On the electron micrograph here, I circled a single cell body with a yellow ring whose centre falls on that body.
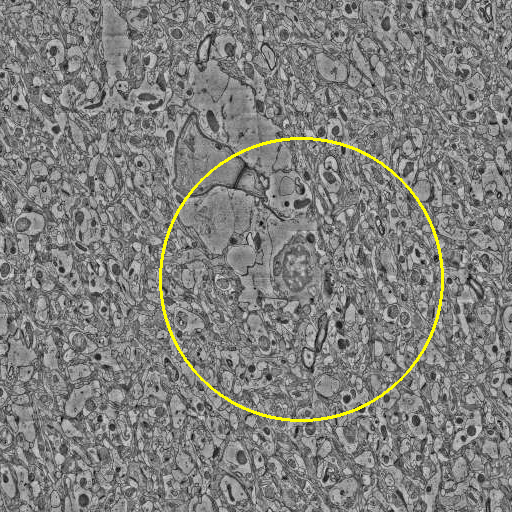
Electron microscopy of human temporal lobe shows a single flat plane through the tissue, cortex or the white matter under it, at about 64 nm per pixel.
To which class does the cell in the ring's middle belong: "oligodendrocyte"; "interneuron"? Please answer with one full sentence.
In this picture, the cell body circled at the ring's centre belongs to an oligodendrocyte.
